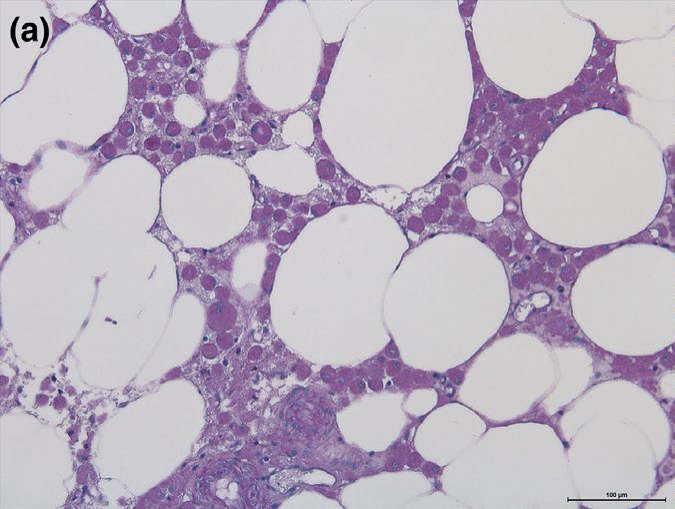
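Adipose tissue is infiltrated by a proliferation of large round cells. Large empty round to oval spaces of fat cells, of varying size, dominate the field, and the round cells fill the spaces between them in sheets and clusters. Smaller cells with paler cytoplasm and small vessels lie scattered among them.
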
